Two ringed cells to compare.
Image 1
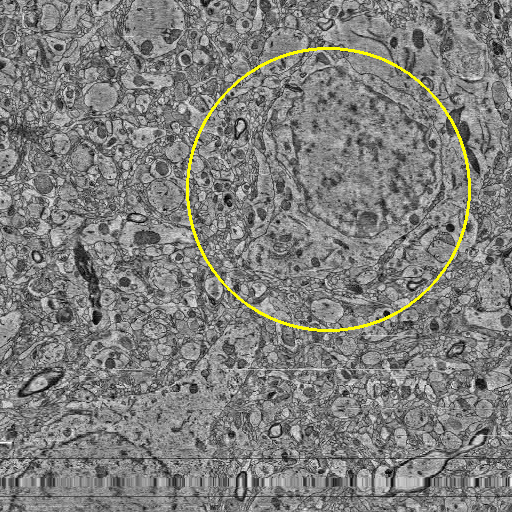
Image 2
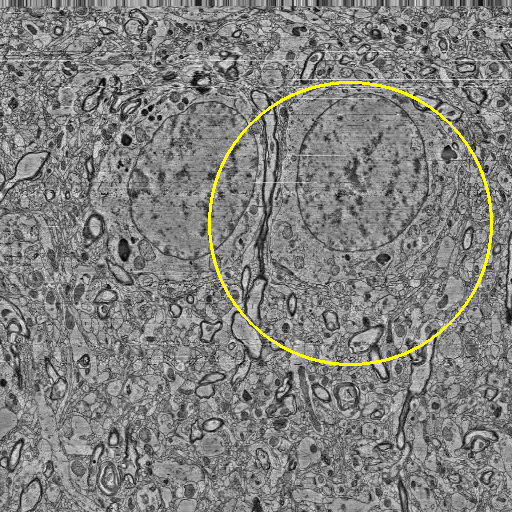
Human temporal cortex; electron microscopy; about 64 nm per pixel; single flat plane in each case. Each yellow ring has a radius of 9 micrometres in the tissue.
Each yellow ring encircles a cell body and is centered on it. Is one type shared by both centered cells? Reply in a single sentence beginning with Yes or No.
No, two types are found among the cells at the centers of the rings.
